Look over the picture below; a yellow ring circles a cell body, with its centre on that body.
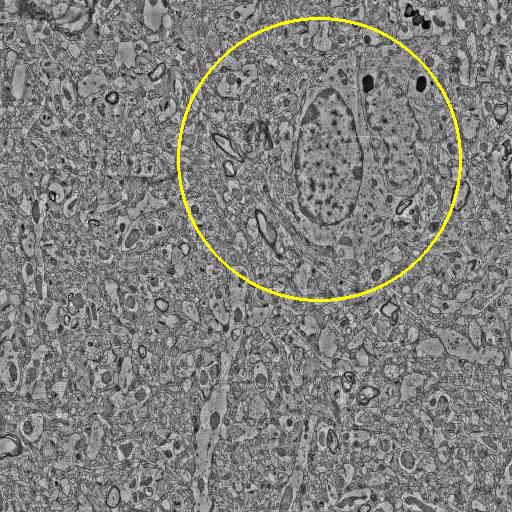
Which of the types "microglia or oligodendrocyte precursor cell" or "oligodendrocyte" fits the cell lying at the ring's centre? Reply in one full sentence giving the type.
The picture shows a microglial cell or oligodendrocyte precursor cell at the centre of the yellow ring.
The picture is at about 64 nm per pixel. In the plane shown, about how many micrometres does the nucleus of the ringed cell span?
About 9 by 4 micrometers; the nucleus is clearly longer than it is wide in this plane.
